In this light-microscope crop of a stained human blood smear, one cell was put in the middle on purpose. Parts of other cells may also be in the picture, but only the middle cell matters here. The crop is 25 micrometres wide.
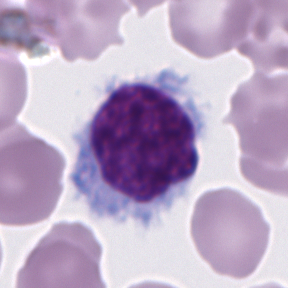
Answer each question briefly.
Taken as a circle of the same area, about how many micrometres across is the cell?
12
